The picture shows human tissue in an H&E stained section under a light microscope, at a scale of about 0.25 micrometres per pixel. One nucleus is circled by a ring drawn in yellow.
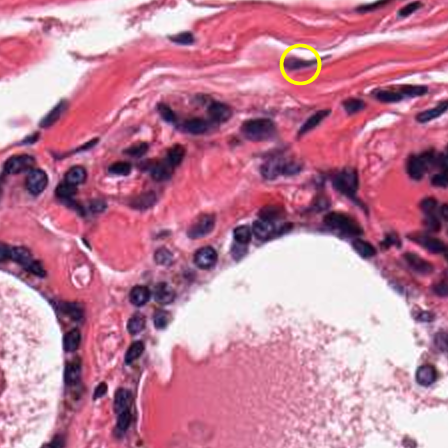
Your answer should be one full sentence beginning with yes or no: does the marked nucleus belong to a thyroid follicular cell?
No, the marked nucleus is contained in a supporting cell and not in a thyroid follicular cell.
